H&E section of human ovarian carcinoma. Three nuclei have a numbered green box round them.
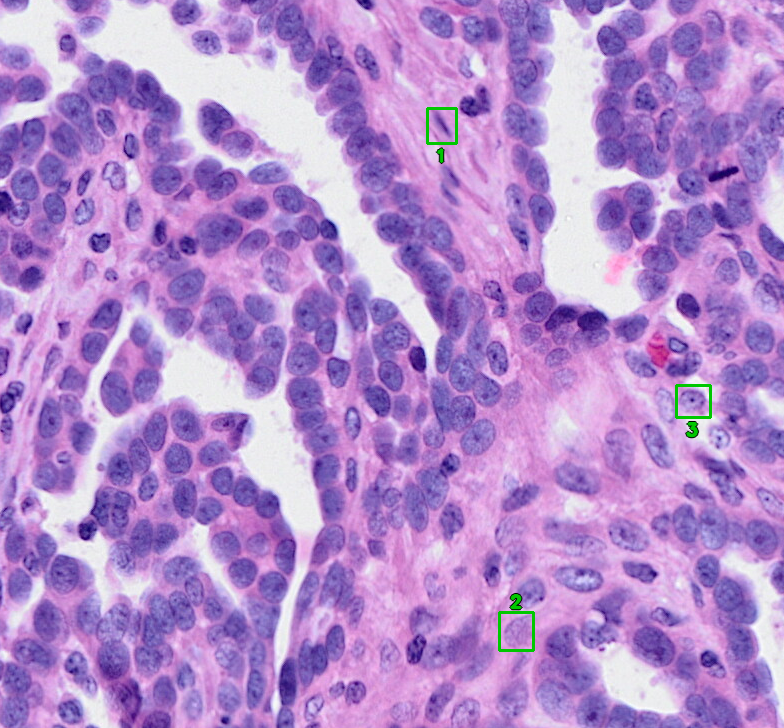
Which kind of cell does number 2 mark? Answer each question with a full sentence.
The label 2 in this section denotes a fibroblast.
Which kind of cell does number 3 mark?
Of the numbered cells, the one labelled 3 is a macrophage or monocyte.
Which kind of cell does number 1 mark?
The cell tagged with 1 in this tissue section is a fibroblast.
